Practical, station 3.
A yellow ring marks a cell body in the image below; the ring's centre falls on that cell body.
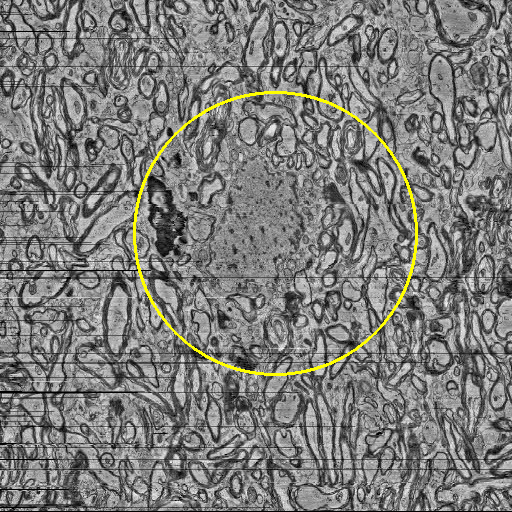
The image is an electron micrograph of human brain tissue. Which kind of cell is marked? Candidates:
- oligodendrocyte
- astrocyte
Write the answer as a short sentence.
The marked cell body is that of an astrocyte.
